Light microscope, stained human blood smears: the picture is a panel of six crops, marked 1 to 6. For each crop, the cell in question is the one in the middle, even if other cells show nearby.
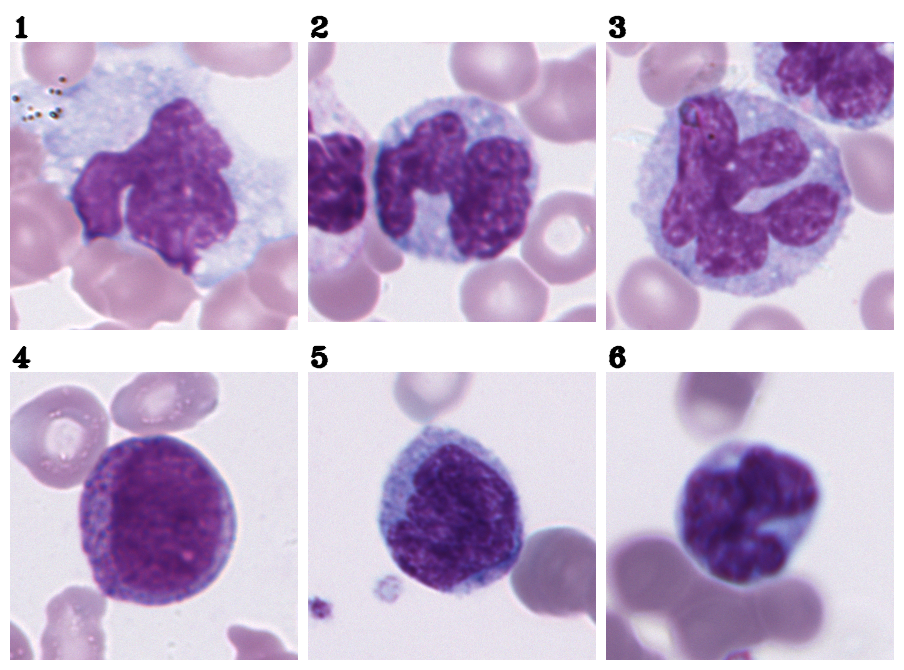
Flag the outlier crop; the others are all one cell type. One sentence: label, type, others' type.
Differing from the rest, crop 4 shows a promyelocyte; the others all show monocytes.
